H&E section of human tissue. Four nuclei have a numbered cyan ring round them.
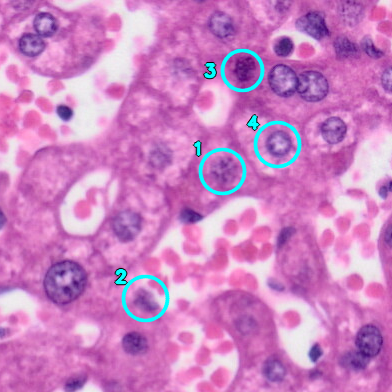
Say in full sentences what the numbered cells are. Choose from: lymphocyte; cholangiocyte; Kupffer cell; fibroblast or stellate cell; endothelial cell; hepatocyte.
Cell 1 is a hepatocyte, cell 2 is an endothelial cell, cell 3 is a fibroblast or stellate cell and cell 4 is a hepatocyte.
